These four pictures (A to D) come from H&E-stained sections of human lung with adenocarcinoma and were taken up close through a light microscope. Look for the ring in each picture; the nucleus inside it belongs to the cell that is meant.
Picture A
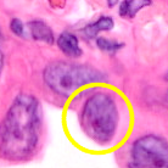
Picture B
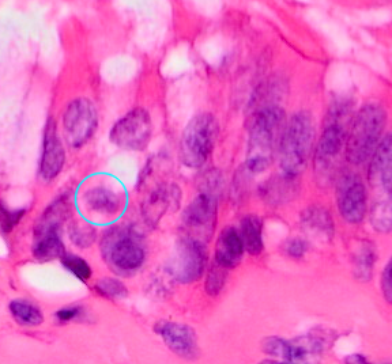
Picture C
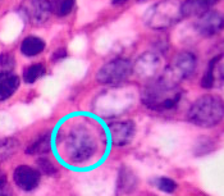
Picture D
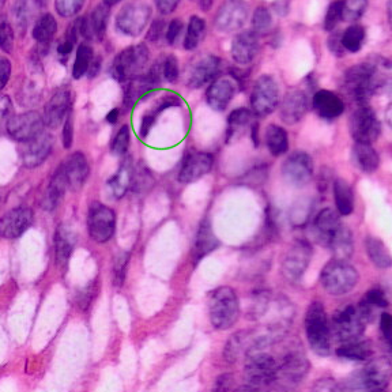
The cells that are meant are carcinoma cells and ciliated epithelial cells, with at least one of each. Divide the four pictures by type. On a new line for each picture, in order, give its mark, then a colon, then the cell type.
A: carcinoma cell
B: ciliated epithelial cell
C: ciliated epithelial cell
D: ciliated epithelial cell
